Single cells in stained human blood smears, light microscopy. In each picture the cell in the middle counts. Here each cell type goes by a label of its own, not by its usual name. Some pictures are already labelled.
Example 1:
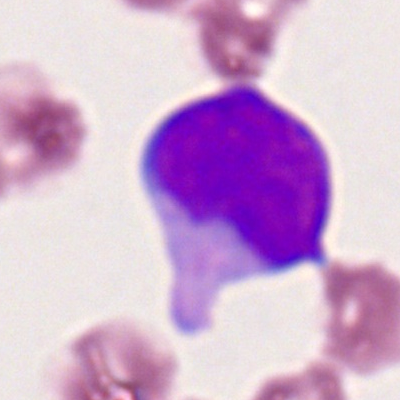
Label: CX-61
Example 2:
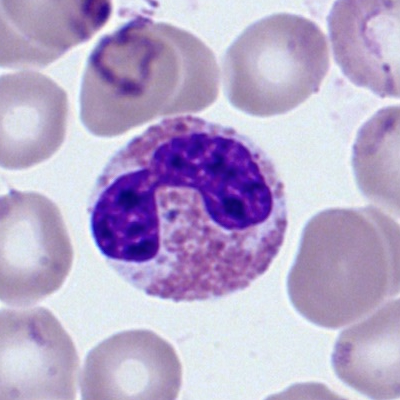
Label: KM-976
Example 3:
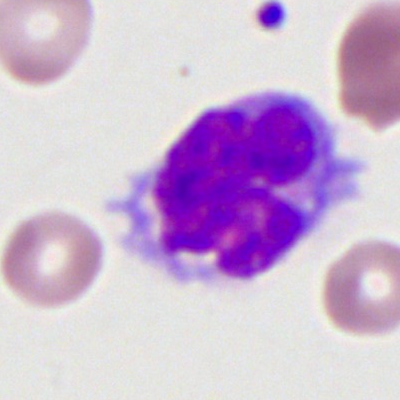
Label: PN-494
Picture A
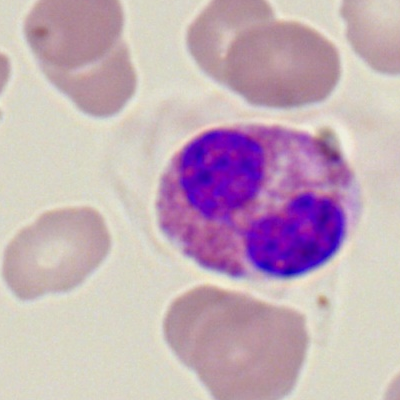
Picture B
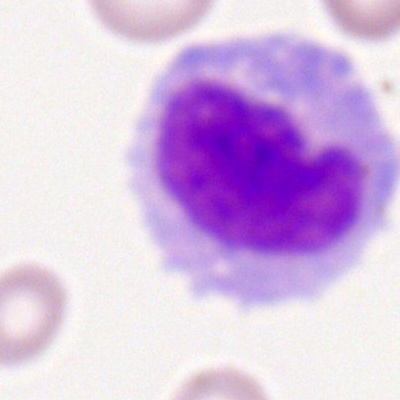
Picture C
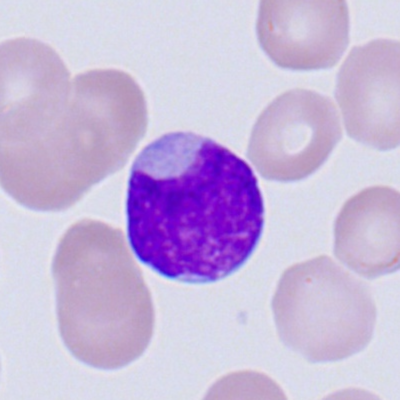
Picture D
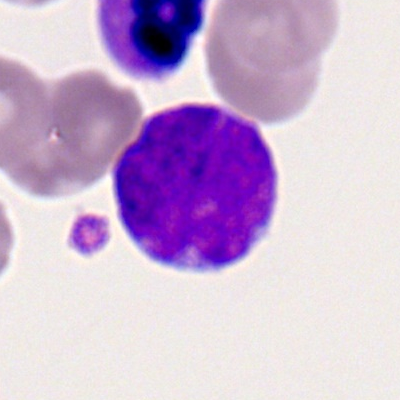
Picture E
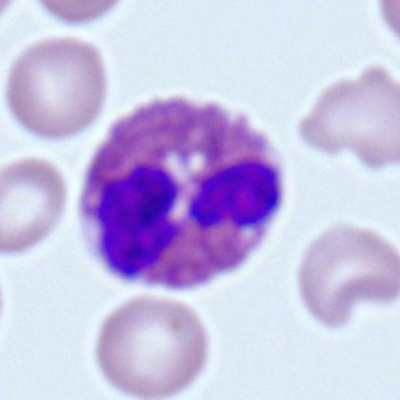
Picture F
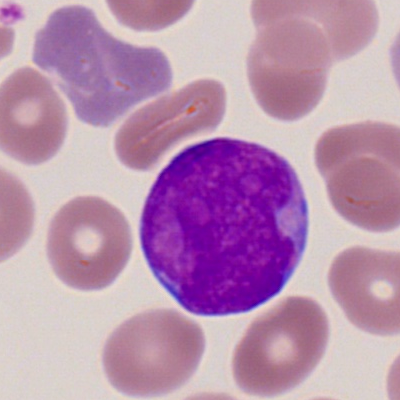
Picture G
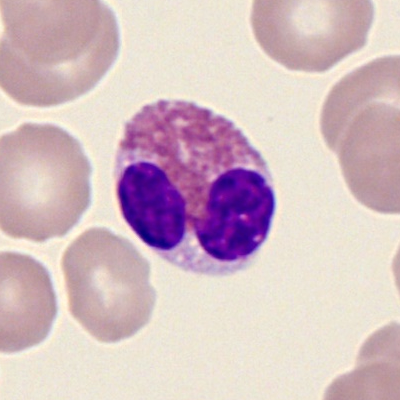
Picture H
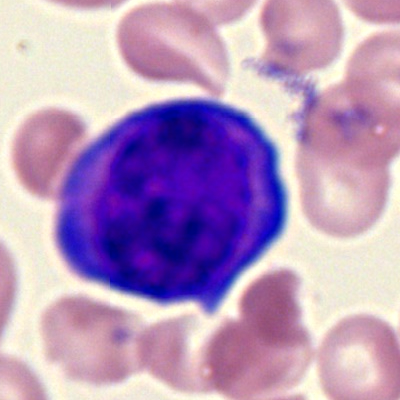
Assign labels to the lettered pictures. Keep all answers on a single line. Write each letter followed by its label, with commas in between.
A KM-976, B PN-494, C CX-61, D CX-61, E KM-976, F CX-61, G KM-976, H CX-61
